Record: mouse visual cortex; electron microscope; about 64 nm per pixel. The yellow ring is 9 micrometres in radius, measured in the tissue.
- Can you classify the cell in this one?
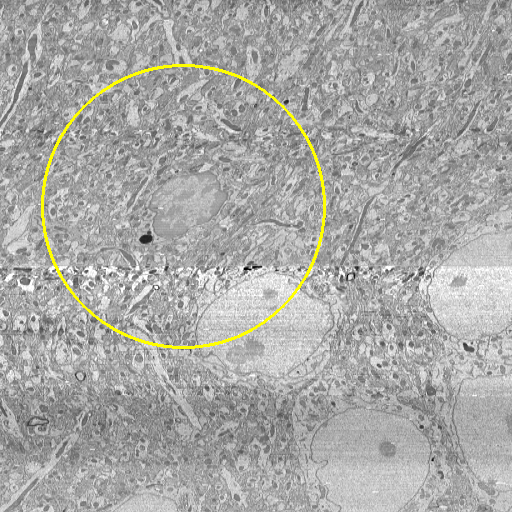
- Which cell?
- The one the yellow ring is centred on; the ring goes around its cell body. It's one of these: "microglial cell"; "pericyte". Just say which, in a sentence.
The cell body in the ring belongs to a microglial cell.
